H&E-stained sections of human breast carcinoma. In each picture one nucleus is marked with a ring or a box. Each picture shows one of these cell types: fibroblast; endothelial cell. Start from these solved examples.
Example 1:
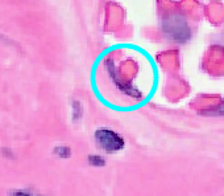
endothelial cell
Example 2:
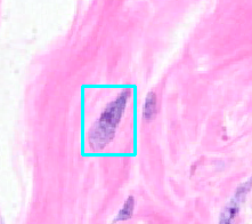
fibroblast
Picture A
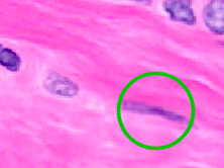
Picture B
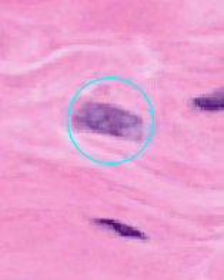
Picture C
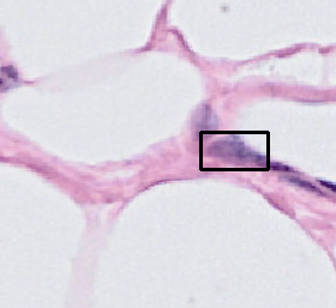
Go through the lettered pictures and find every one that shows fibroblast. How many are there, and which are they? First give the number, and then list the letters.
2, namely A, B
